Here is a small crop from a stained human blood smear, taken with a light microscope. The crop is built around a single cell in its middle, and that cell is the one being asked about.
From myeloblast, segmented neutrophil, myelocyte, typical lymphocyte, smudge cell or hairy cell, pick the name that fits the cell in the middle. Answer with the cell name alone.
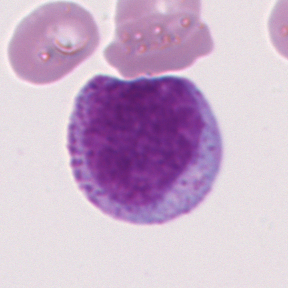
myelocyte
